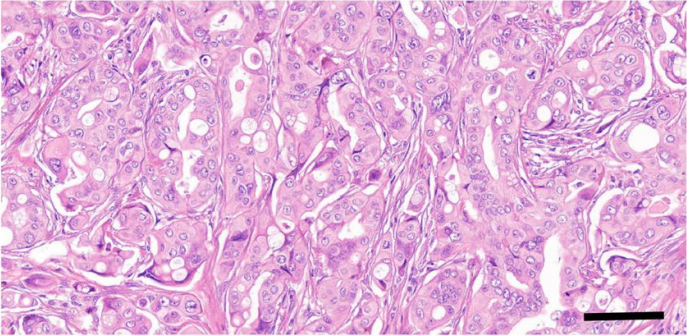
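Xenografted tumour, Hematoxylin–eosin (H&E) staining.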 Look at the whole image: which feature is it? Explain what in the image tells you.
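Irregular glandular-like cell structures. Cells form irregular groups around small open lumens. Thin strands of pink stroma separate the cell groups.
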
